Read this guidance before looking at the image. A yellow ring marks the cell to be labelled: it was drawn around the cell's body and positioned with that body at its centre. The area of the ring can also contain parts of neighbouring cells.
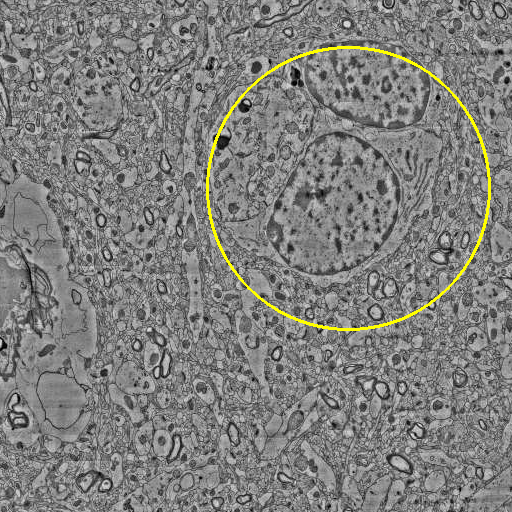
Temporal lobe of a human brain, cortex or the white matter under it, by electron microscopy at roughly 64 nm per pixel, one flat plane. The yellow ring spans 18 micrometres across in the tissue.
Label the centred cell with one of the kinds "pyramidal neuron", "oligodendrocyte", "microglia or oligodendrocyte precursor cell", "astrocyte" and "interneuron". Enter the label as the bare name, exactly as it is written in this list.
microglia or oligodendrocyte precursor cell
